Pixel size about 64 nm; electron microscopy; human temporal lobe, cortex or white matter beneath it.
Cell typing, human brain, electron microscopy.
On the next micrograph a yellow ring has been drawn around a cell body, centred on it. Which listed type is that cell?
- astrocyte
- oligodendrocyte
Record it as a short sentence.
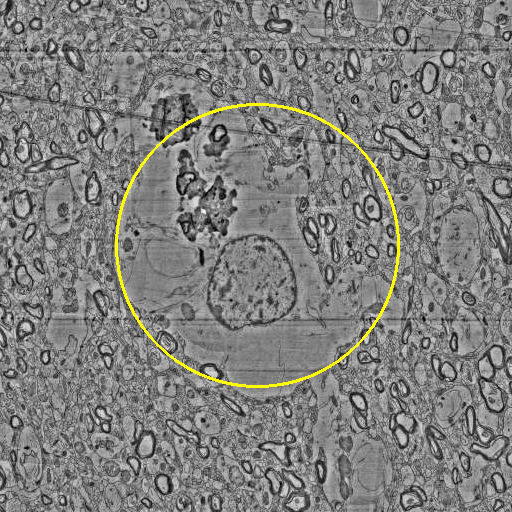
The cell body in the ring's centre belongs to an astrocyte.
